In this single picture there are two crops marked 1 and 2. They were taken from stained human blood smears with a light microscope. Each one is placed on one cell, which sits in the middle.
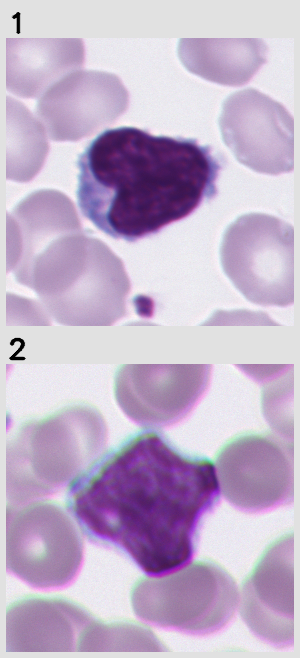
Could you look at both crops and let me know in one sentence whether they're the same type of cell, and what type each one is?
Yes, both crops do show lymphocytes in the middle.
